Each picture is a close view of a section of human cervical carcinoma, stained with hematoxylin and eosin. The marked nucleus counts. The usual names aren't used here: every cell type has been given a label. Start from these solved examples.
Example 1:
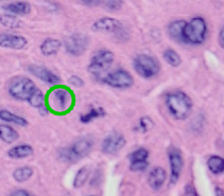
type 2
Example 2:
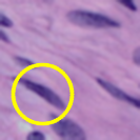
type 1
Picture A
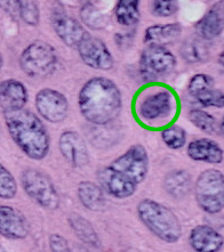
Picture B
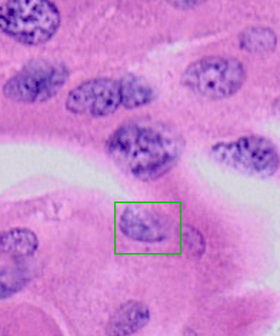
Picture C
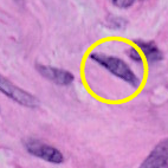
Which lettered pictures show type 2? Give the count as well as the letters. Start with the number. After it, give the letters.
2: A, B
